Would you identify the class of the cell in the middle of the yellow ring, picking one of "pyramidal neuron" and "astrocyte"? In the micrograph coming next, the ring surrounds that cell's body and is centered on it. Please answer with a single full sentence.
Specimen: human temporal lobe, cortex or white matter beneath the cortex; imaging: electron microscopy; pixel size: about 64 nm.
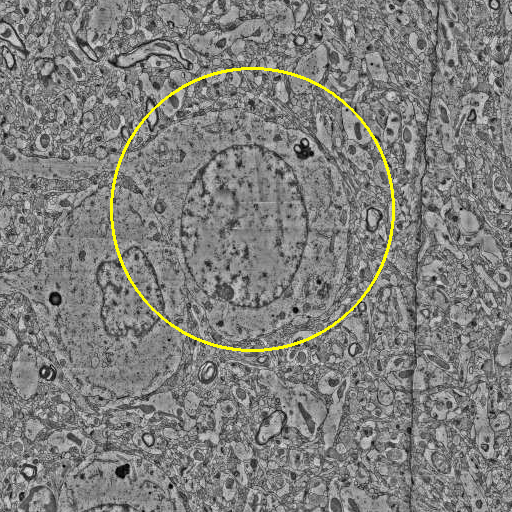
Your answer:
In the micrograph, it is a pyramidal neuron whose body lies at the ring's center.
